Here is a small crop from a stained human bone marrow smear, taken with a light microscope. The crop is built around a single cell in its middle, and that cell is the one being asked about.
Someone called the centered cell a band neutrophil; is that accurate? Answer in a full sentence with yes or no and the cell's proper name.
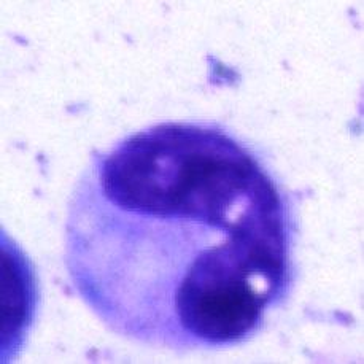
Yes, it is a band neutrophil that occupies the centre of the crop.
